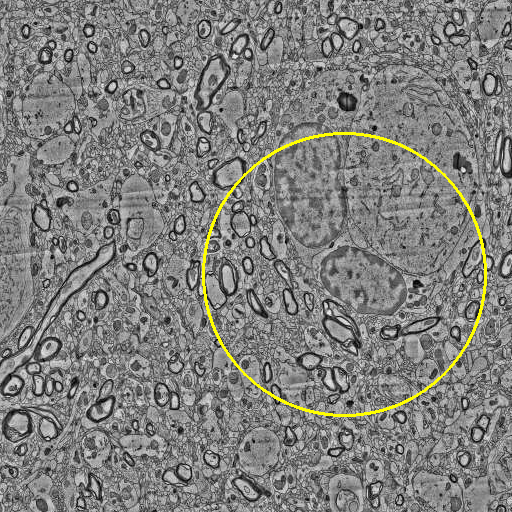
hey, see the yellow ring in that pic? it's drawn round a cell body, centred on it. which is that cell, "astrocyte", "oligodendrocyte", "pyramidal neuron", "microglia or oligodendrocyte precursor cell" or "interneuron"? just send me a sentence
The cell in the ring is a microglial cell or oligodendrocyte precursor cell.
